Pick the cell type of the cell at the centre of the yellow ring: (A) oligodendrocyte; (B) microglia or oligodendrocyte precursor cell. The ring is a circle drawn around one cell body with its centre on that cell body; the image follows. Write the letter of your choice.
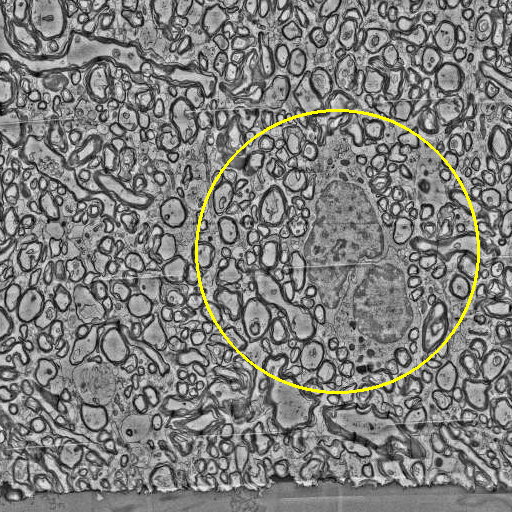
A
